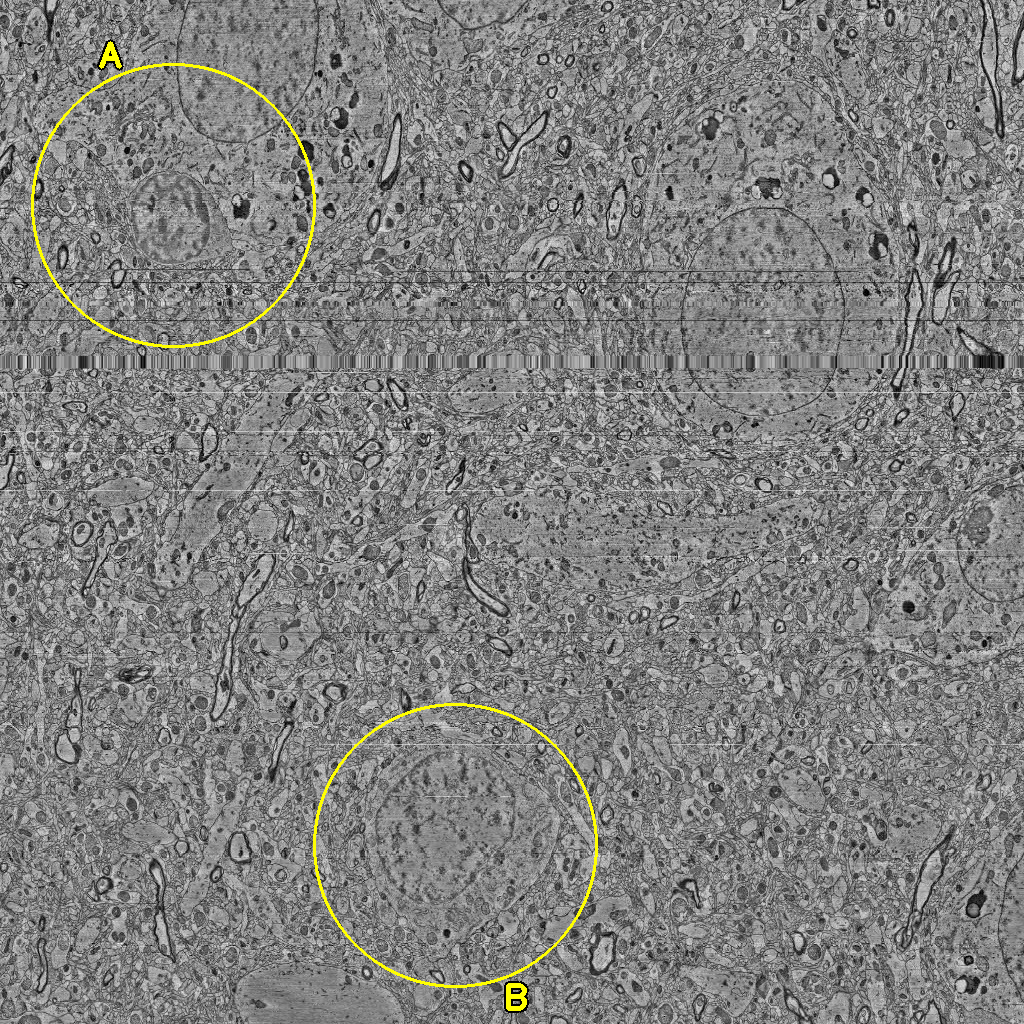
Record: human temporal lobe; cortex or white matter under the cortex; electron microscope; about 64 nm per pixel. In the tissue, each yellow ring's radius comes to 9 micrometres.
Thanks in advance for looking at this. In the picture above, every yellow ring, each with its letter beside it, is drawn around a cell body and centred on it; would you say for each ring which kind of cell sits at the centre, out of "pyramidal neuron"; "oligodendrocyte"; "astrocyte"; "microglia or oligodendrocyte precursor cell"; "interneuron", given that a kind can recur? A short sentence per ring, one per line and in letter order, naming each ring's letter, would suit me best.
The cell body in ring A belongs to an oligodendrocyte.
The cell body in ring B belongs to an interneuron.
